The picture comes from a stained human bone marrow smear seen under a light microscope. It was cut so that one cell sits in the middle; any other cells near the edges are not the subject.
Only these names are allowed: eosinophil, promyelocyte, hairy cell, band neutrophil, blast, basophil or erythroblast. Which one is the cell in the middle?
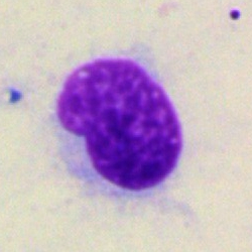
hairy cell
